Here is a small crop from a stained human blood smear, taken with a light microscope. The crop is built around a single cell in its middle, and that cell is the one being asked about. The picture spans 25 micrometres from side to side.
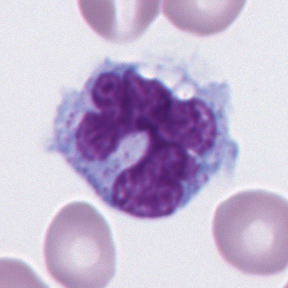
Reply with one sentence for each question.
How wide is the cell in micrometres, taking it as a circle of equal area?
About 14 micrometres: that is the cell's diameter.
